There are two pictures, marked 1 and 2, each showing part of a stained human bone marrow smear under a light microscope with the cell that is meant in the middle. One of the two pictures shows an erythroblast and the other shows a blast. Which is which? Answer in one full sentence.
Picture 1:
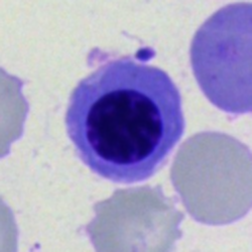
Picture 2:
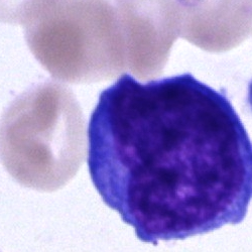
It is picture 1 that shows an erythroblast, and picture 2 that shows a blast.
